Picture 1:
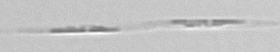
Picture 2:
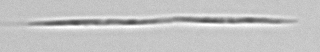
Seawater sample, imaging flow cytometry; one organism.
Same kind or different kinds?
Same: Pseudo-nitzschia.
